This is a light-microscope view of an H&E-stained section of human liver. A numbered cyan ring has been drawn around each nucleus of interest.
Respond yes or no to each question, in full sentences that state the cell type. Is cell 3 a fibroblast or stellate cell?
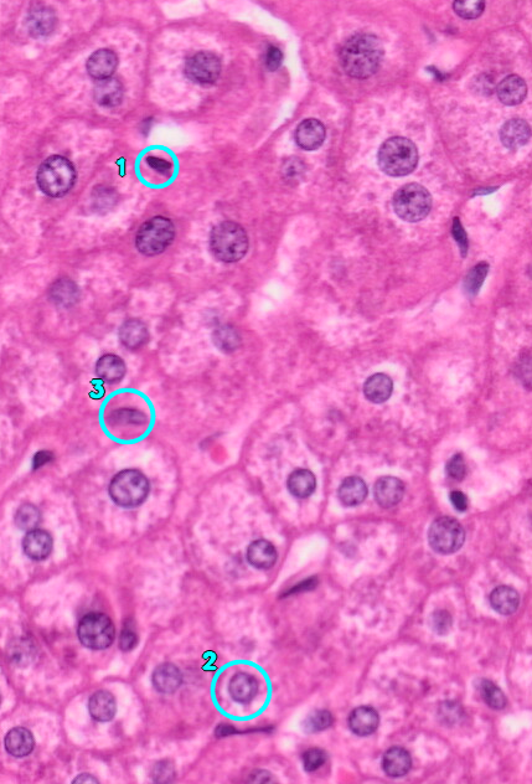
No, cell 3 should be classed as a Kupffer cell, not as a fibroblast or stellate cell.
